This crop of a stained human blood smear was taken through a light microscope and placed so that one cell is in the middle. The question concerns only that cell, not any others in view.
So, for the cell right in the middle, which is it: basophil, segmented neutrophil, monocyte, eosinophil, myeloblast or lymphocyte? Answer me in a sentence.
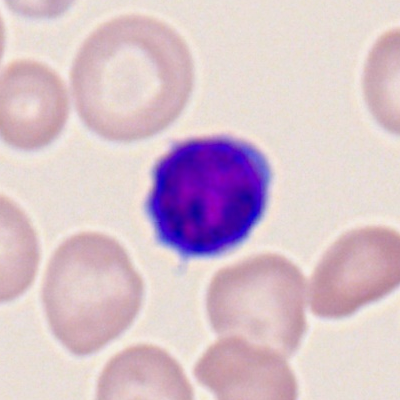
The cell at the central position in this crop is a lymphocyte.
